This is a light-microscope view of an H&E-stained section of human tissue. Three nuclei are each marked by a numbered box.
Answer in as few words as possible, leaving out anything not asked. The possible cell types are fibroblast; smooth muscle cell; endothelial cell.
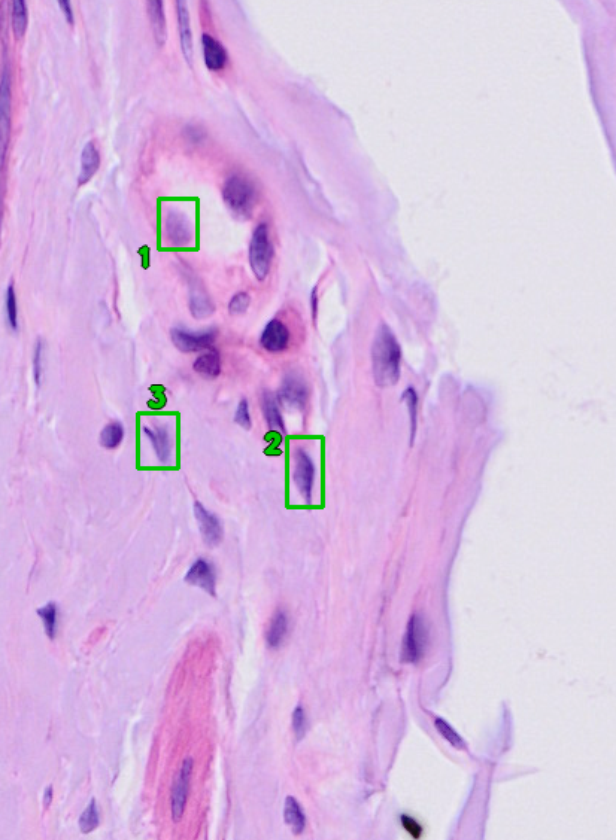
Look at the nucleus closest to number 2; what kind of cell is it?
endothelial cell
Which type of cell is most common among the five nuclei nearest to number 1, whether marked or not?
endothelial cell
